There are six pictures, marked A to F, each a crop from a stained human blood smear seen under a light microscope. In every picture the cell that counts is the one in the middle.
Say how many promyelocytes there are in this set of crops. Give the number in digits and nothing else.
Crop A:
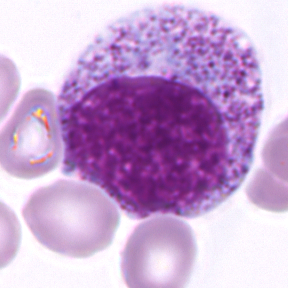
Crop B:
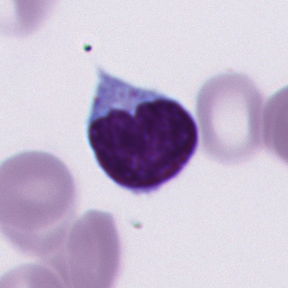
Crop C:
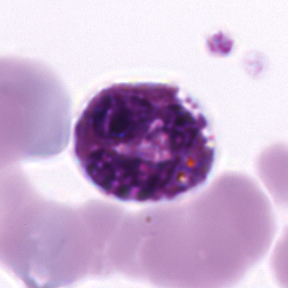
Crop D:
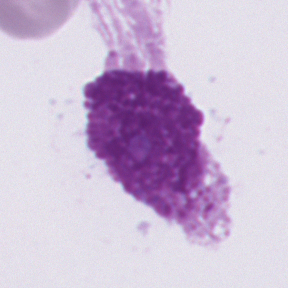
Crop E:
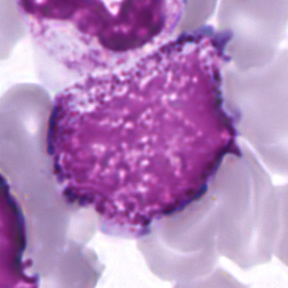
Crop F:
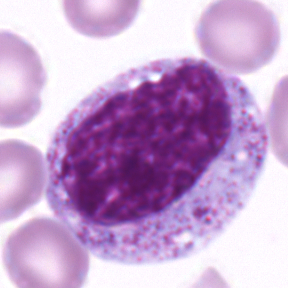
2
